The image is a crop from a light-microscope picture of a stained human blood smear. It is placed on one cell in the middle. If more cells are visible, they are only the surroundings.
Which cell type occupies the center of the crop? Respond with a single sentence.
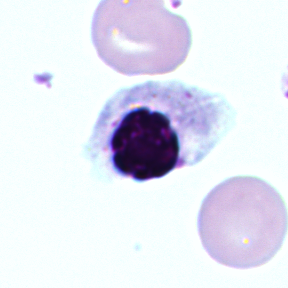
Answering briefly, the cell in the middle is a normoblast.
